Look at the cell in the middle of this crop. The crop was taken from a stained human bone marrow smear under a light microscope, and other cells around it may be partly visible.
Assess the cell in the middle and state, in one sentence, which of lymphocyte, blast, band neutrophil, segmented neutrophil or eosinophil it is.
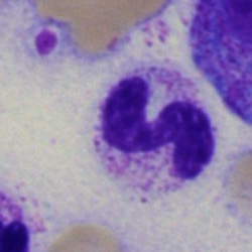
The cell of interest, in the center, is a band neutrophil.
